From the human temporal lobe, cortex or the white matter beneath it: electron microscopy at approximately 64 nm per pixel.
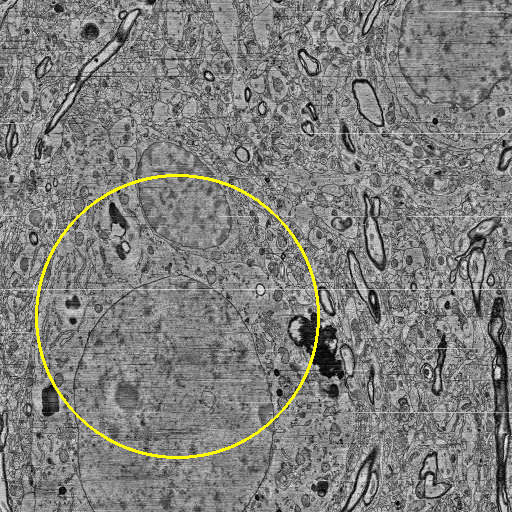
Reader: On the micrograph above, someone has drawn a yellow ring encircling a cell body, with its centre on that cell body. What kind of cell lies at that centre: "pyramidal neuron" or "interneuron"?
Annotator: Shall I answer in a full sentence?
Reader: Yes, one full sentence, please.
Here a pyramidal neuron sits at the centre of the yellow ring drawn on the micrograph.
